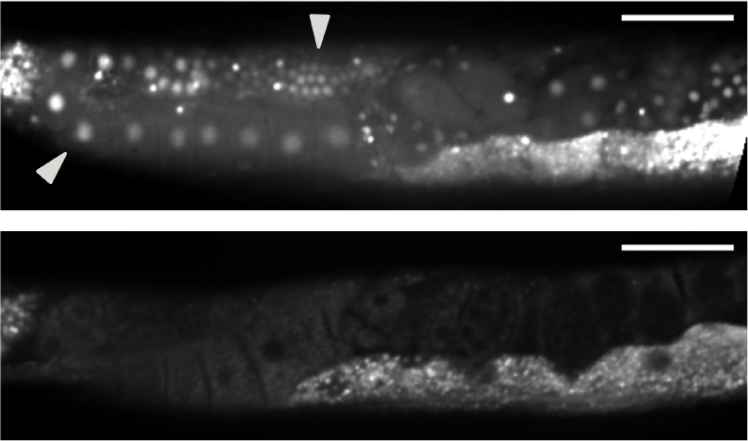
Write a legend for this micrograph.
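These are two fluorescence images of the body of an adult worm, with the signal sitting in the nuclei of germline and embryonic cells in the upper image. In the upper image many round bright spots, one per cell, line the germline toward the left, some larger and dimmer in a single row, others small and packed in clusters where embryos lie. In the lower image the round nuclear spots are gone, and only faint cell outlines and the same speckled intestinal band along the lower right remain.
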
